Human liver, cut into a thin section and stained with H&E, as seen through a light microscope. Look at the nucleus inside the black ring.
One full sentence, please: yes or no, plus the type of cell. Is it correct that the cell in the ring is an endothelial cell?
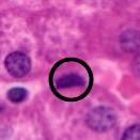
No, instead of an endothelial cell, the cell in the ring is a fibroblast or stellate cell.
